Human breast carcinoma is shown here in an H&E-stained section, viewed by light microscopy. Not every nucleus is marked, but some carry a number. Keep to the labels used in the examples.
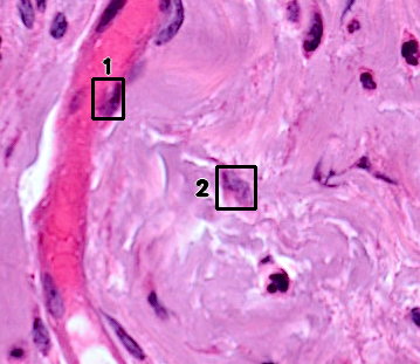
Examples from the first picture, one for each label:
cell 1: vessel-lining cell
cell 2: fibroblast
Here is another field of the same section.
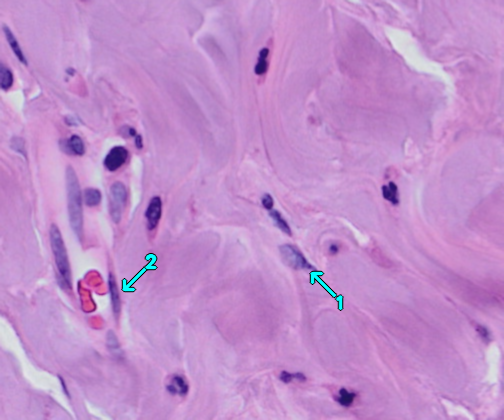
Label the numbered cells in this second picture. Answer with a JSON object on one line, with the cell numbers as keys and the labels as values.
{"1": "fibroblast", "2": "vessel-lining cell"}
